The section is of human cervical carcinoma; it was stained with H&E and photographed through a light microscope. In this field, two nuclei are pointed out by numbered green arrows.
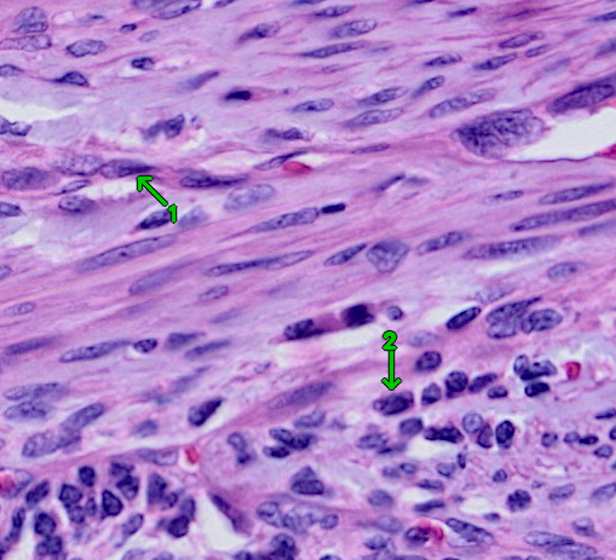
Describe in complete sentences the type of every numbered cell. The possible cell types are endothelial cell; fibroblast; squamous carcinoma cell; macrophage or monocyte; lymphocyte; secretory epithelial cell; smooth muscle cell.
Cell 1 is an endothelial cell and cell 2 is a lymphocyte.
